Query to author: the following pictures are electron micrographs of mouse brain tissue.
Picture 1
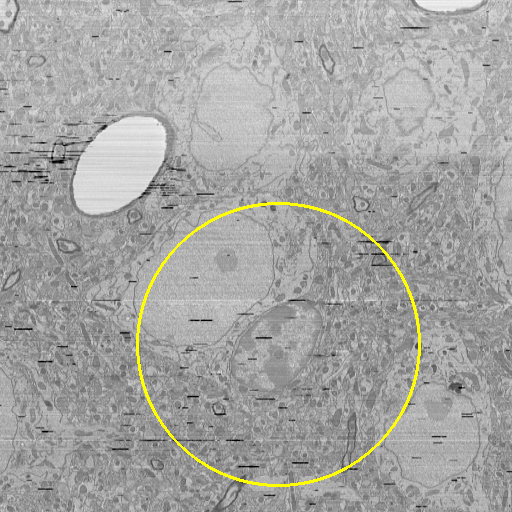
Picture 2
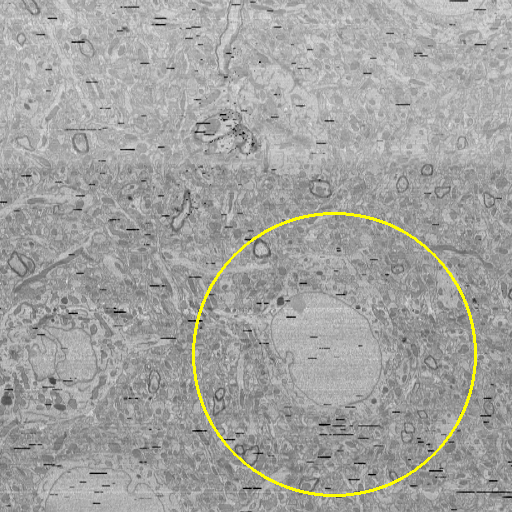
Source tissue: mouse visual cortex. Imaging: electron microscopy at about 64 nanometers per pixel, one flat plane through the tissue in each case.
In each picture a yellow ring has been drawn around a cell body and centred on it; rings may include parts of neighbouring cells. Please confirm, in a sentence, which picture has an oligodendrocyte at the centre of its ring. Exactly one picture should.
Picture 1 has it at the centre of its ring.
